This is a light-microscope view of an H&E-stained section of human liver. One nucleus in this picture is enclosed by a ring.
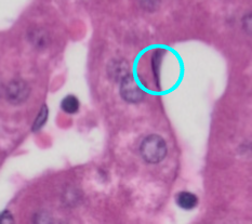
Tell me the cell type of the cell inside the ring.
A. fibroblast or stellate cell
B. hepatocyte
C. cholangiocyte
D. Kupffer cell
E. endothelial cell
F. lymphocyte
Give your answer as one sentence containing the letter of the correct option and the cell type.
Under option A, the cell inside the ring is listed as a fibroblast or stellate cell, which is correct.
